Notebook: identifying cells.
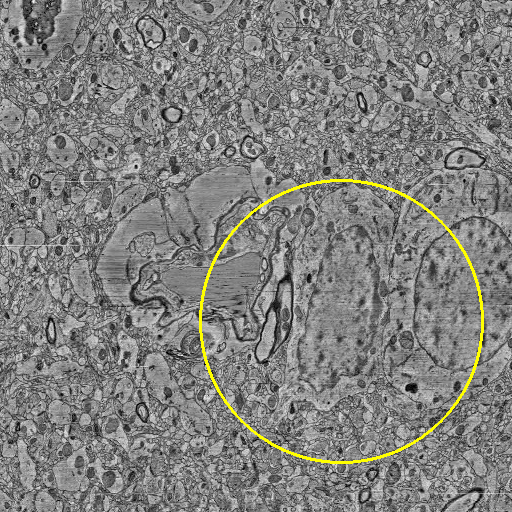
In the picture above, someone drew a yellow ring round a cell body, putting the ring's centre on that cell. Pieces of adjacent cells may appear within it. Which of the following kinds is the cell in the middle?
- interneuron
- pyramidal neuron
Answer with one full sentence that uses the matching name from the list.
In this picture, the yellow ring is centred on the body of an interneuron.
